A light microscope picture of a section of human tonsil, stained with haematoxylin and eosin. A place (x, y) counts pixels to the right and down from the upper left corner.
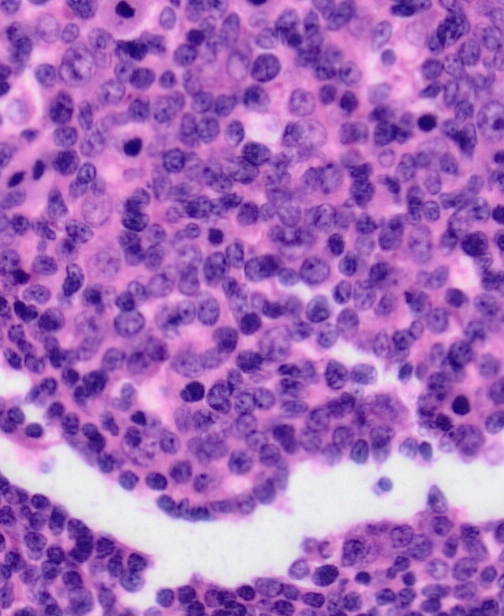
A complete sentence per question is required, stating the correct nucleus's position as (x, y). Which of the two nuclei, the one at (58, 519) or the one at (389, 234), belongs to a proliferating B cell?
The pair contains one nucleus of a proliferating B cell, namely the one at (389, 234).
